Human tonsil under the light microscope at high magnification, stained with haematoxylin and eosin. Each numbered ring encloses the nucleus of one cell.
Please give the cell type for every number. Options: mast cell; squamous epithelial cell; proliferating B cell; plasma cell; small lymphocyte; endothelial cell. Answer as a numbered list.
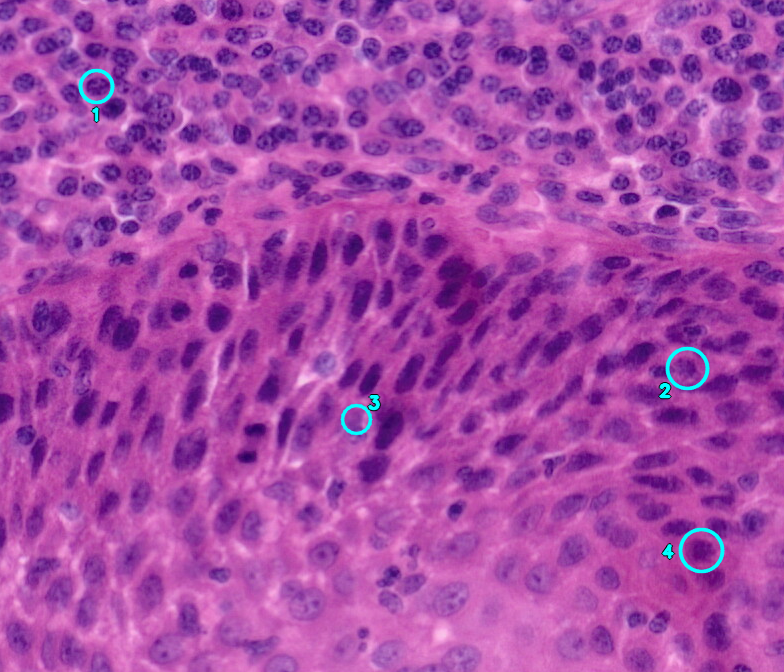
1. plasma cell
2. squamous epithelial cell
3. squamous epithelial cell
4. squamous epithelial cell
